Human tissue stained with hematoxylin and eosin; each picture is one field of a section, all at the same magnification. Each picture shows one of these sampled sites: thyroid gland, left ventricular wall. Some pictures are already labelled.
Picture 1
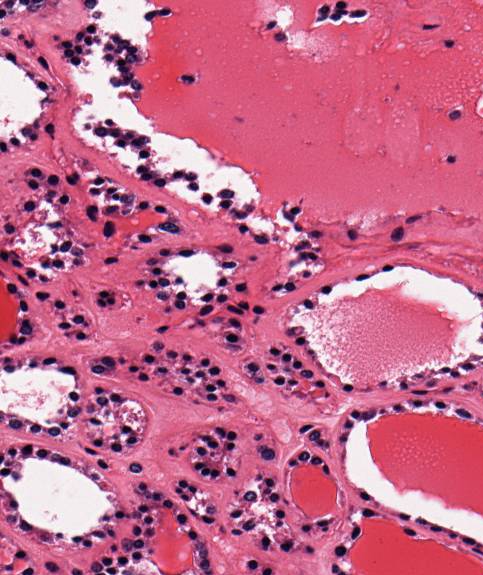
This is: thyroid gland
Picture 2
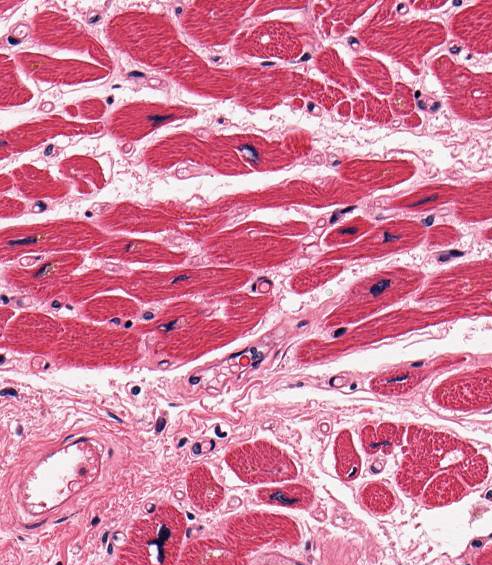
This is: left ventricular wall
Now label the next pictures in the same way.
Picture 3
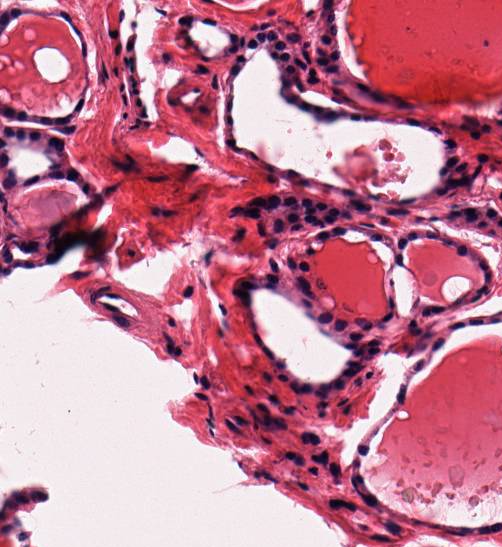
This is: thyroid gland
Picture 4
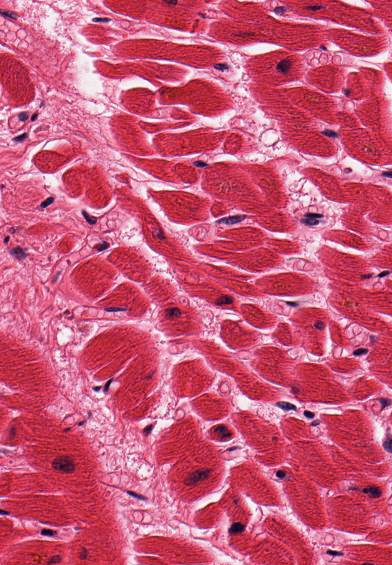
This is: left ventricular wall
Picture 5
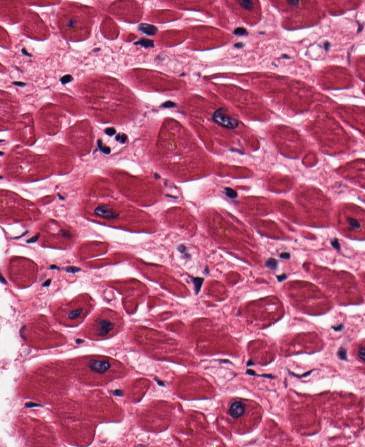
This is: left ventricular wall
